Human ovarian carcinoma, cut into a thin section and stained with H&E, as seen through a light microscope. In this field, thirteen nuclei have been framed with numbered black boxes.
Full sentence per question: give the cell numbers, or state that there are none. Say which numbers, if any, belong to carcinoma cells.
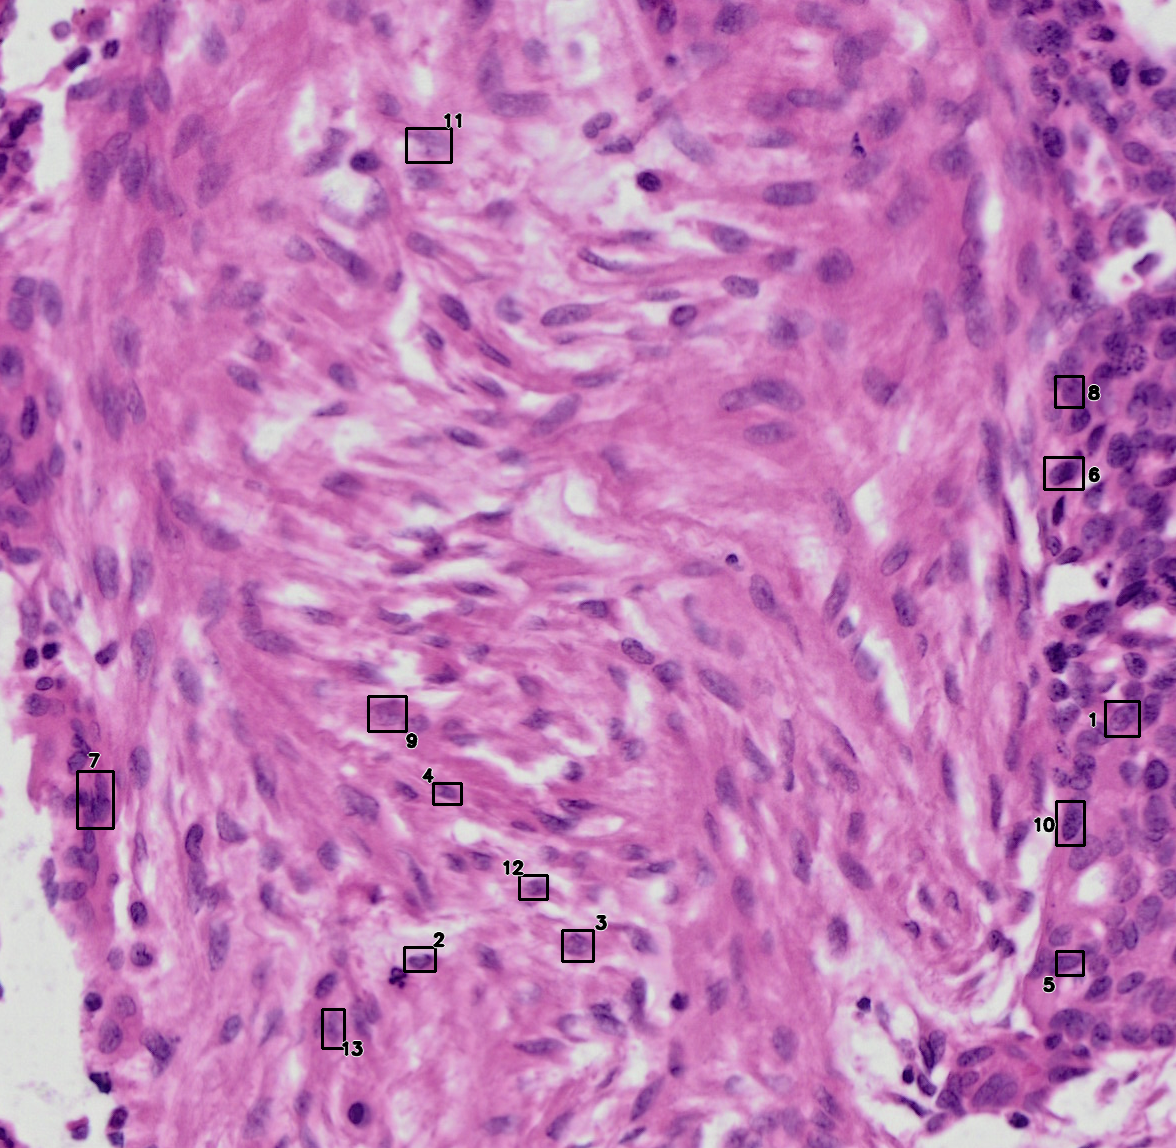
The cells 1, 5, 6, 8 and 10 in this section are carcinoma cells.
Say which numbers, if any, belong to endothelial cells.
The numbered cell that is an endothelial cell is cell 7, and it is the only one.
